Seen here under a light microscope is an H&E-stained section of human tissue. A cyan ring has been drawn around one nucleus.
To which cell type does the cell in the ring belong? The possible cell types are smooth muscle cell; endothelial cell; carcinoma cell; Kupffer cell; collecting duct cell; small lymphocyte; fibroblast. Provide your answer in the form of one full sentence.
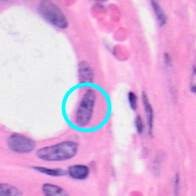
In the tissue under study, the cell in the ring is a collecting duct cell.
